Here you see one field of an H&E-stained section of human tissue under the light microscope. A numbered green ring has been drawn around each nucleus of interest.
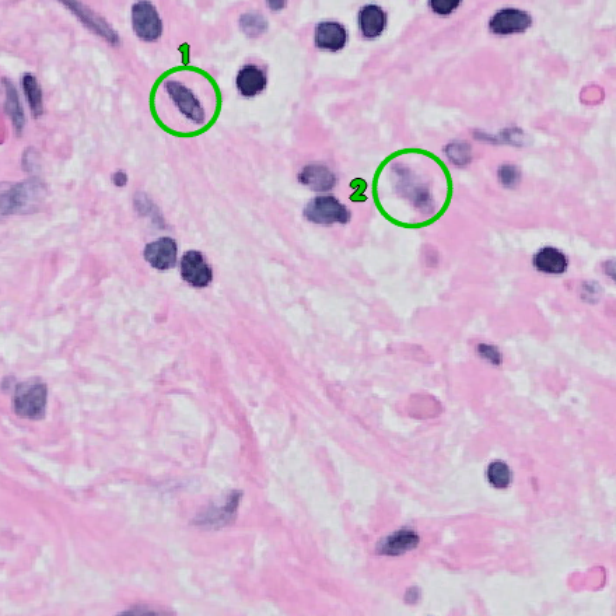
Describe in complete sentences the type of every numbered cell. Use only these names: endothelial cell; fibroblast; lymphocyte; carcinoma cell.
Cell 1 is a lymphocyte and cell 2 is a fibroblast.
